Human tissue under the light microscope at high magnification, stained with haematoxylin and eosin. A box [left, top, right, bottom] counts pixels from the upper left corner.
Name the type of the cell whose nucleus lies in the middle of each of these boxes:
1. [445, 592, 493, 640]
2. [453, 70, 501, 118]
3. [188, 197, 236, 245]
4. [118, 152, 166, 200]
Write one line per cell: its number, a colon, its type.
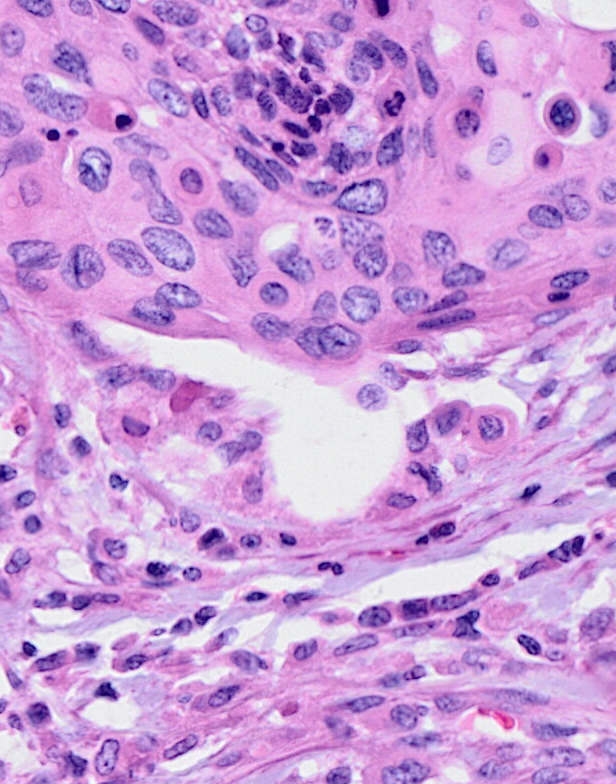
1: lymphocyte
2: squamous carcinoma cell
3: squamous carcinoma cell
4: squamous carcinoma cell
